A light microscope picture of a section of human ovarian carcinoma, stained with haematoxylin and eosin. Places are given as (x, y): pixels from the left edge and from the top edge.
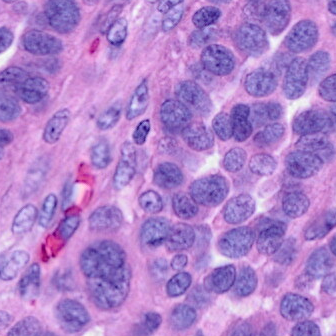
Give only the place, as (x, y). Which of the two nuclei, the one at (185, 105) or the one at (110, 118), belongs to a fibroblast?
(110, 118)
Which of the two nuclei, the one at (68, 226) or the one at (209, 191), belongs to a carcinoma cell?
(209, 191)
